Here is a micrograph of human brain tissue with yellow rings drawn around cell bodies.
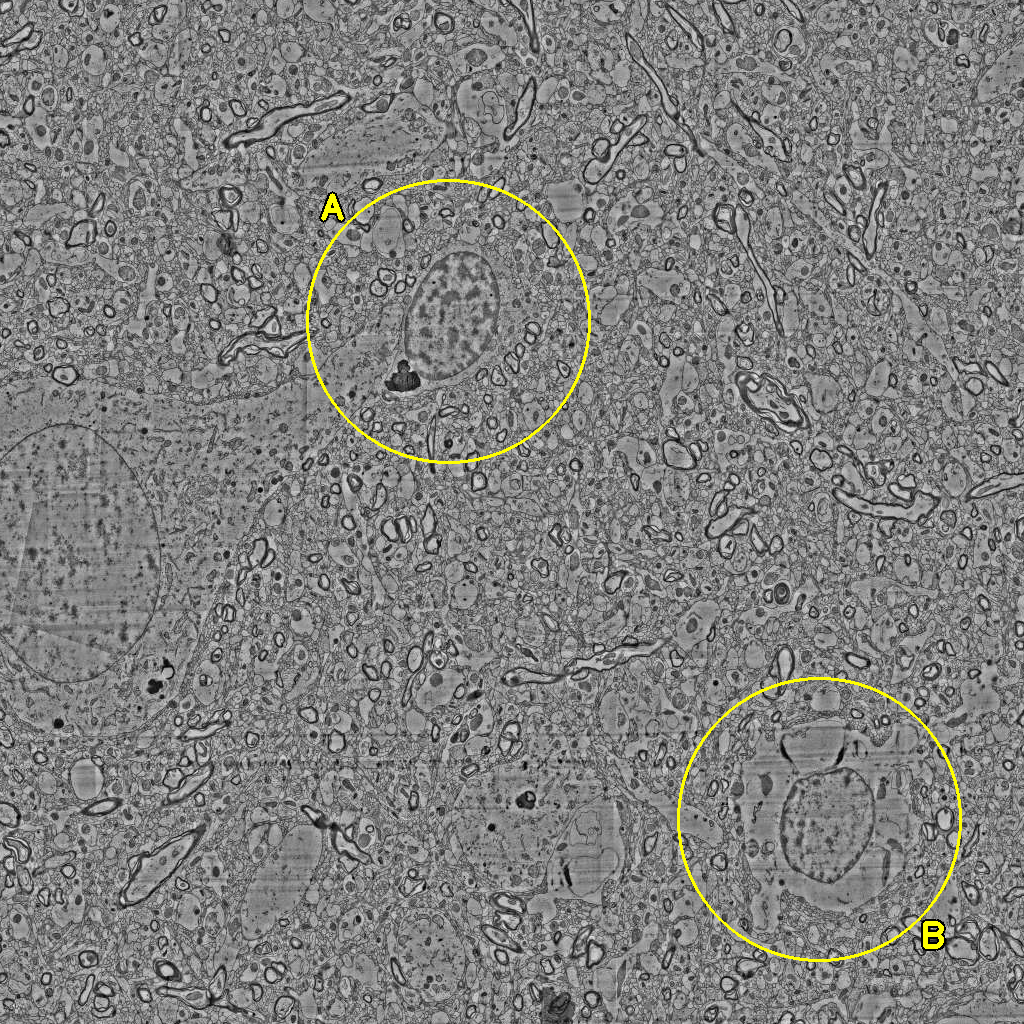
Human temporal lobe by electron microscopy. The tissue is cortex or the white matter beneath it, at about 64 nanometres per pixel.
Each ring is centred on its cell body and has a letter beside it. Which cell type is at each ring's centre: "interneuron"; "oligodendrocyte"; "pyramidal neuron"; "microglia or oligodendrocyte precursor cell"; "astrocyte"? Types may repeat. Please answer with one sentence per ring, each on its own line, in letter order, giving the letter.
Ring A shows an oligodendrocyte at its centre.
Ring B shows an astrocyte at its centre.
